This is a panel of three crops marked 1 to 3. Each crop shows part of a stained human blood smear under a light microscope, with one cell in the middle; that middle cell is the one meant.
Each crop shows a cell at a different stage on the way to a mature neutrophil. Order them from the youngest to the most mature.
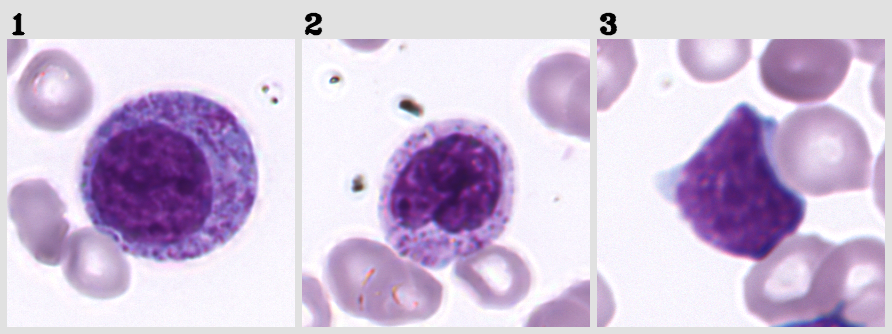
3, 1, 2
